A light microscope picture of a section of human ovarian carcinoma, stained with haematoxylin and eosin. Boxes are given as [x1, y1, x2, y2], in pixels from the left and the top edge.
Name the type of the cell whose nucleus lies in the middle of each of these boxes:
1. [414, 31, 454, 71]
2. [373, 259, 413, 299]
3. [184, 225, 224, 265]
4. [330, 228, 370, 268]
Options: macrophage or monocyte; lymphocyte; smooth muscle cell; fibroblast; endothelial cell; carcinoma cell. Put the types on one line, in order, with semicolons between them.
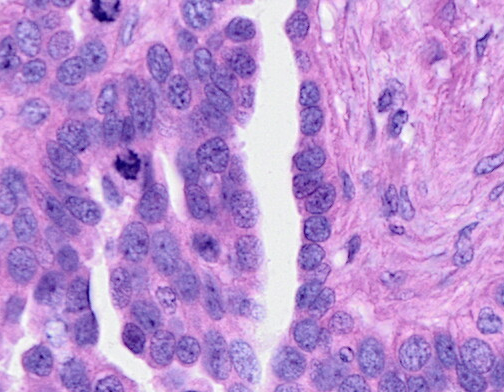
fibroblast; fibroblast; macrophage or monocyte; fibroblast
